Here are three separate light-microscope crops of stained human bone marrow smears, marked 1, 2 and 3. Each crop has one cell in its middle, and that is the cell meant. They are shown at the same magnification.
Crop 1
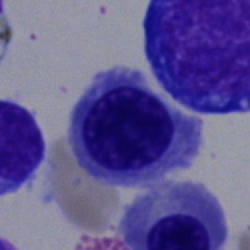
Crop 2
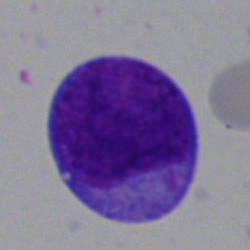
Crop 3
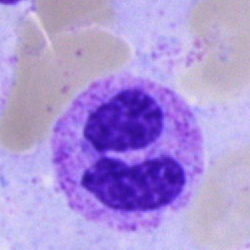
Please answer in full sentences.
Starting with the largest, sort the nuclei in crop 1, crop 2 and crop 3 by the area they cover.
Largest first: 2, 3, 1.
